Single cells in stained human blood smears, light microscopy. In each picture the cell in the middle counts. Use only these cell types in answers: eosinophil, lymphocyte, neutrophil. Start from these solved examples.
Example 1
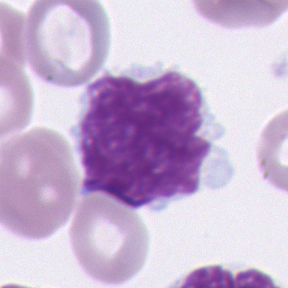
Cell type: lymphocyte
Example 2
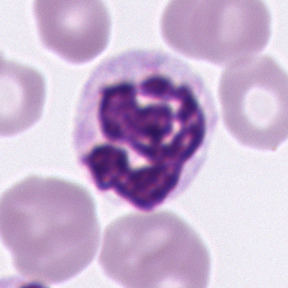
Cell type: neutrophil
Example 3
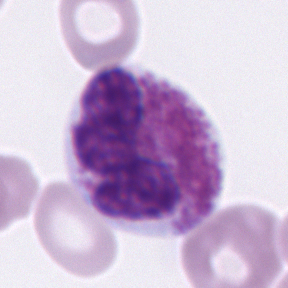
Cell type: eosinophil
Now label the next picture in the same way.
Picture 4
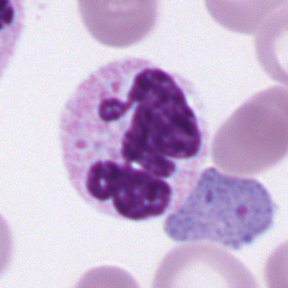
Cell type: neutrophil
